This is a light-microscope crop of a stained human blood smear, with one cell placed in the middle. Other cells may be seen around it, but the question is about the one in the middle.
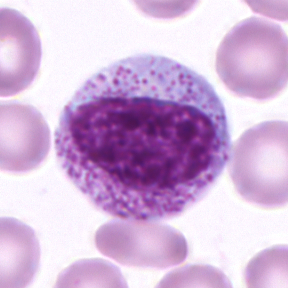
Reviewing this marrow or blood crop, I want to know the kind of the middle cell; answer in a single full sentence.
The cell the crop is centered on is a metamyelocyte.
